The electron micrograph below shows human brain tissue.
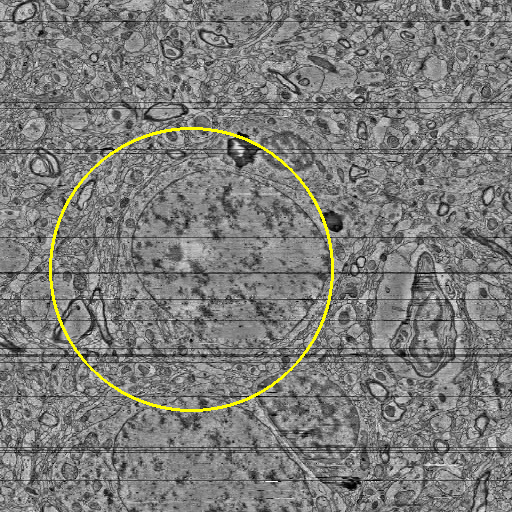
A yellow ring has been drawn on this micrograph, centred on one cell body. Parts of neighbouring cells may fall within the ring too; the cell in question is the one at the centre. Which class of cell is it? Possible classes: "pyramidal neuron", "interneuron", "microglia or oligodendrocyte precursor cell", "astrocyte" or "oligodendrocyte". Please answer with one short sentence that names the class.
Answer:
In the centre of the ring sits a pyramidal neuron.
